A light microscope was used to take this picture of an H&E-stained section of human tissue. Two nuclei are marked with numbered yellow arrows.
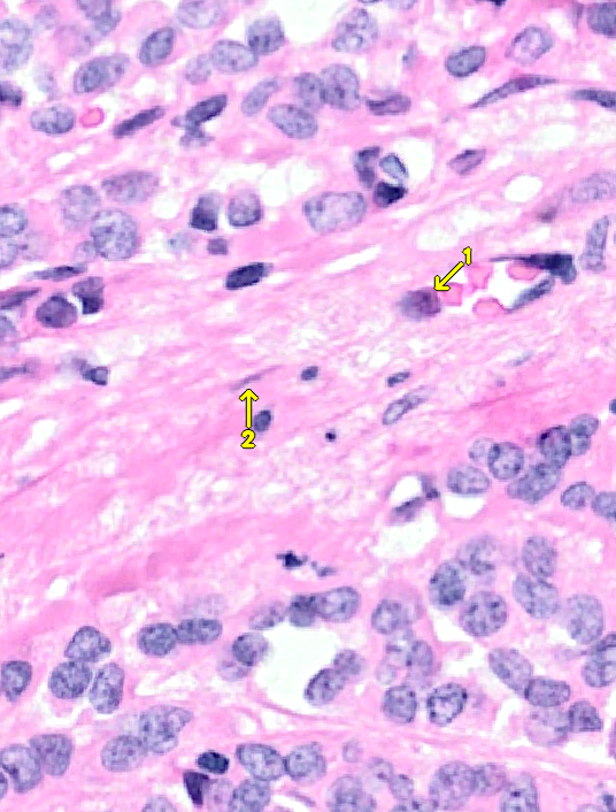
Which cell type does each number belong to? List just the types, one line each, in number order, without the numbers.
endothelial cell
fibroblast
